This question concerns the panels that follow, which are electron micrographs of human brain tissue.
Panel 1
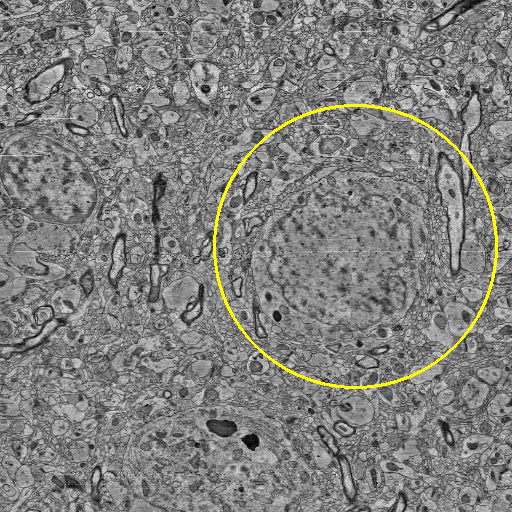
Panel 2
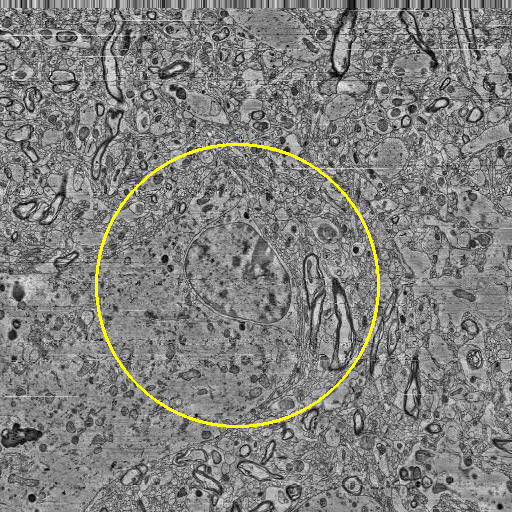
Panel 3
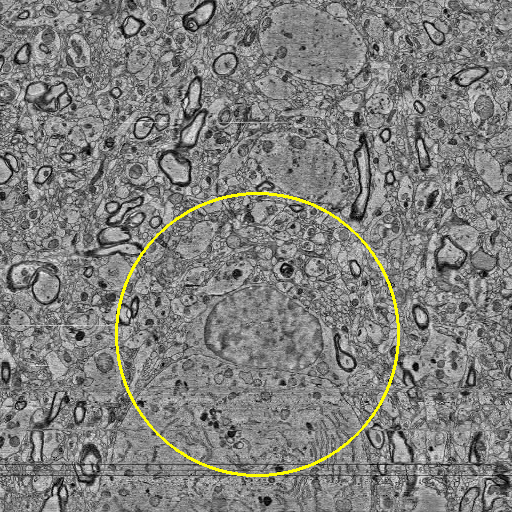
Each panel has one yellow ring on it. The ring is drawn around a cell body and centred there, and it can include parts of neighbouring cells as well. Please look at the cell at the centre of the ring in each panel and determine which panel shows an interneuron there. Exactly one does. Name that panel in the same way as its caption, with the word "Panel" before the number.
Panel 1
